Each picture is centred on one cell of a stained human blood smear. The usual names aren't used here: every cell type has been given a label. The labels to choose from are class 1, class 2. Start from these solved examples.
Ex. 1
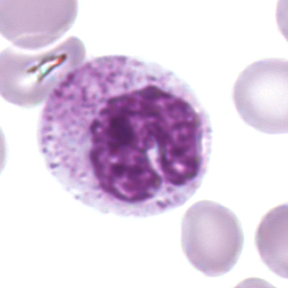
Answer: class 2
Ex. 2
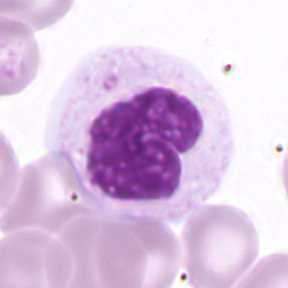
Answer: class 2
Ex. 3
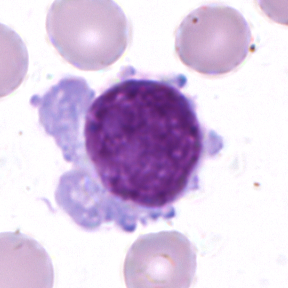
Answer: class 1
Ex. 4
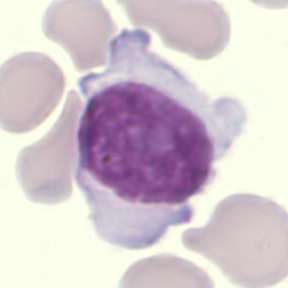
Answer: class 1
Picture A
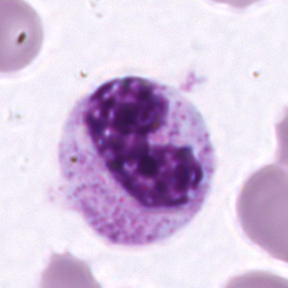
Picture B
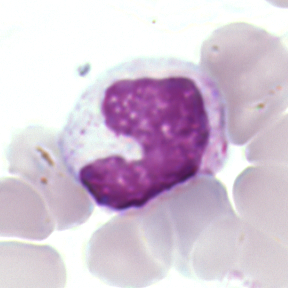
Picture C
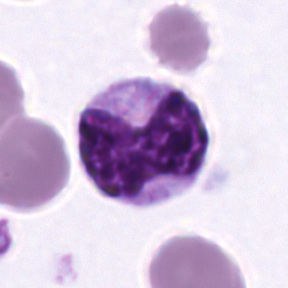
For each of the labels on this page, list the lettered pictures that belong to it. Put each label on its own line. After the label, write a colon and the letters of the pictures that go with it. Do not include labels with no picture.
class 2: A, B, C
